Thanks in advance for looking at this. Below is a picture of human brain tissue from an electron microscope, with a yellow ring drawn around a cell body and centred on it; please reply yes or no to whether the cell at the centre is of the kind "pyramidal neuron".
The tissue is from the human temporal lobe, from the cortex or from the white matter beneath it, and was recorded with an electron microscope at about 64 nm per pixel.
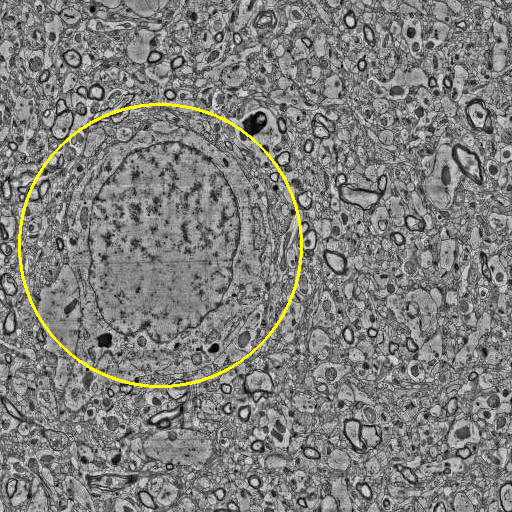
yes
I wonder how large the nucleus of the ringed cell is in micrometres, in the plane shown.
The nucleus works out at approximately 13 by 10 micrometres in this plane.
